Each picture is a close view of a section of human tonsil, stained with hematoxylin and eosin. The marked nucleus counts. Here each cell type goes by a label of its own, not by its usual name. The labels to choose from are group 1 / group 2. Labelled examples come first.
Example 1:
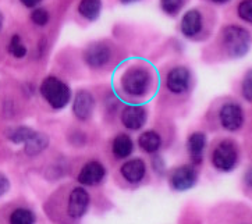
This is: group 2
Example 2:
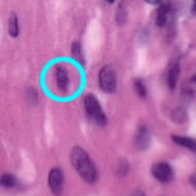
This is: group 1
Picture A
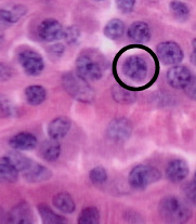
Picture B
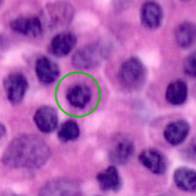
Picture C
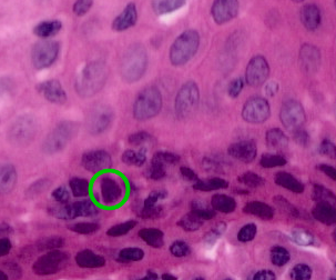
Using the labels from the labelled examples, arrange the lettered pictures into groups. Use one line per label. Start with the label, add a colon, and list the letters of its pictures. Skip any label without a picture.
group 1: C
group 2: A, B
